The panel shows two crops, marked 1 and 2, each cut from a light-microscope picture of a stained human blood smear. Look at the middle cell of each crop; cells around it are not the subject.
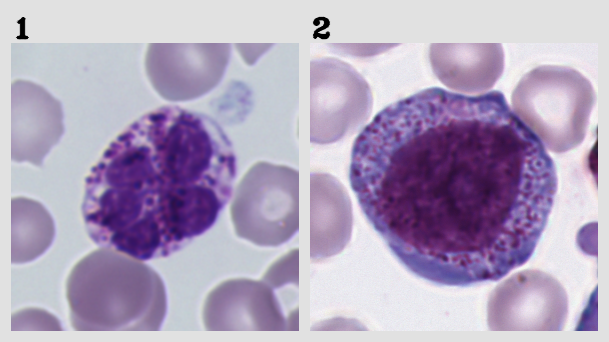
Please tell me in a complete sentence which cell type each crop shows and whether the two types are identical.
No, crop 1 shows a basophil, and it is crop 2 that shows a promyelocyte.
